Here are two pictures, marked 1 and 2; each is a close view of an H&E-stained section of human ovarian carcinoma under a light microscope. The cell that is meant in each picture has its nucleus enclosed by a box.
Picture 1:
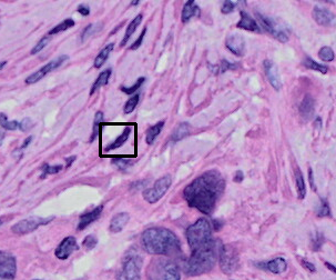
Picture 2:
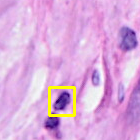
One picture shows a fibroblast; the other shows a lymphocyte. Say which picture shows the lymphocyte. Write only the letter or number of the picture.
2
